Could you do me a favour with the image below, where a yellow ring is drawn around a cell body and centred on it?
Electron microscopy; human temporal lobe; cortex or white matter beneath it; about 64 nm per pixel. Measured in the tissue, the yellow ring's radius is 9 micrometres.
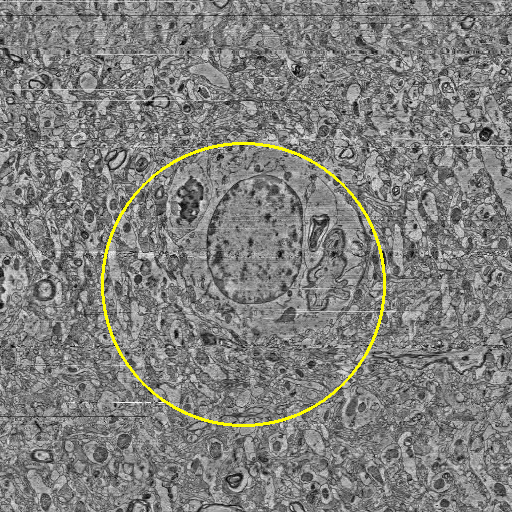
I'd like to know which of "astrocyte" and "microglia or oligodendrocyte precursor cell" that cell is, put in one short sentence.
The cell at the ring's centre is an astrocyte.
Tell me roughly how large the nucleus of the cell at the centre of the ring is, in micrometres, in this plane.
Roughly 9 micrometres by 6 micrometres, in this plane.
